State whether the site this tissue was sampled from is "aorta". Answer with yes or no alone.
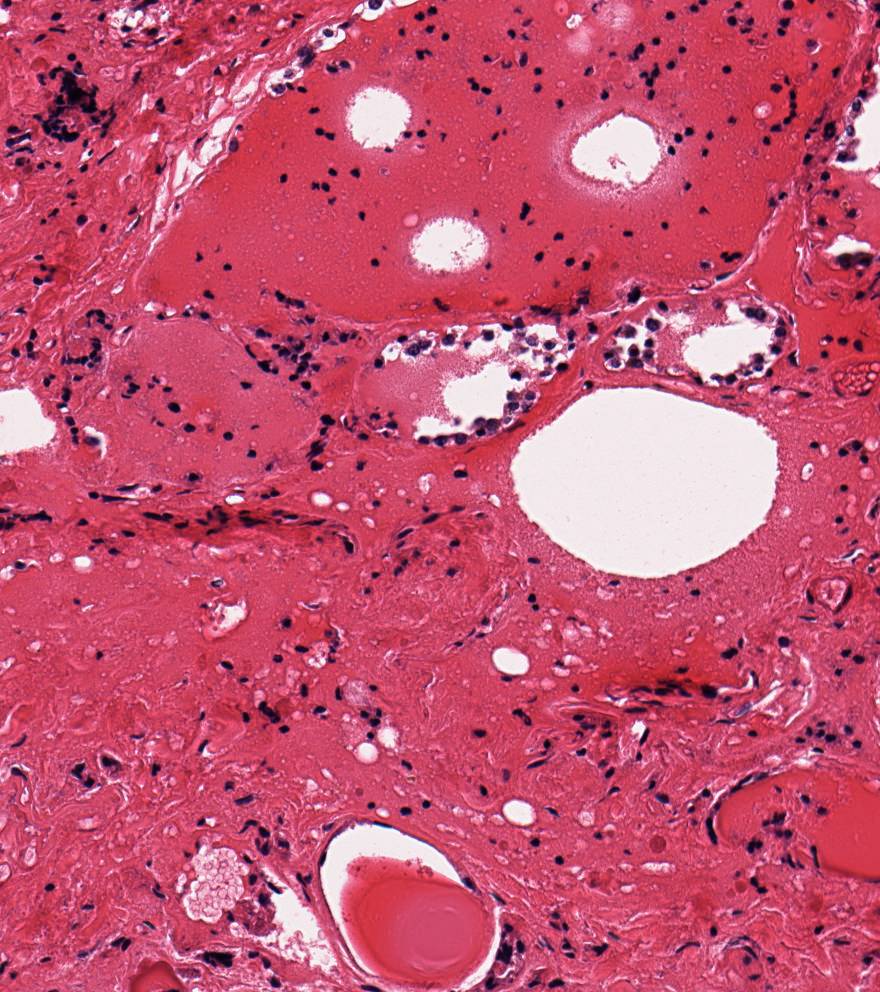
no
